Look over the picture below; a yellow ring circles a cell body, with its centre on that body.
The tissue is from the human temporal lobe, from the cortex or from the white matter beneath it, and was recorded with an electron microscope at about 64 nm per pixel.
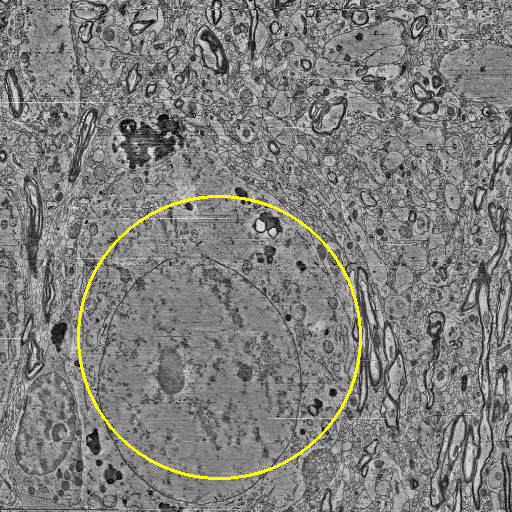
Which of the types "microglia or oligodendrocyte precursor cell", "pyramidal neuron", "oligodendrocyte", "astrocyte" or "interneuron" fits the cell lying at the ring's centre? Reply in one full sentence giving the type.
The picture shows a pyramidal neuron at the centre of the yellow ring.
